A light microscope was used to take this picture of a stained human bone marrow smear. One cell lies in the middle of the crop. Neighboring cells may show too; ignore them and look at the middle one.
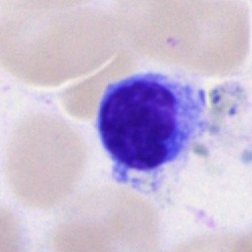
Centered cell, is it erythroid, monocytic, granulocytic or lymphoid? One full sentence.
The cell in the middle of the crop belongs to the lymphoid lineage.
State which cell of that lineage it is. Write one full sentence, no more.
In the middle of this smear crop is a lymphocyte.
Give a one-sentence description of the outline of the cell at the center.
No smooth contour is present; the border is ragged or extended into projections.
